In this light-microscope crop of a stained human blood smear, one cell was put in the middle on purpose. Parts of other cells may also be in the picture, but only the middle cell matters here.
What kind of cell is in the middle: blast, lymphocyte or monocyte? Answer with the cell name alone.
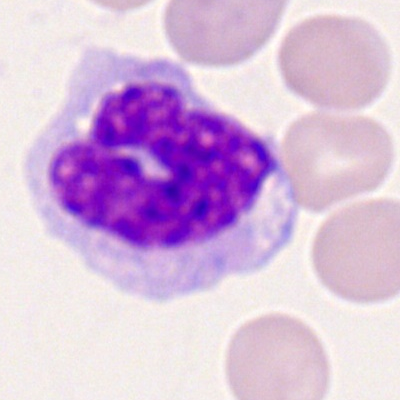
monocyte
